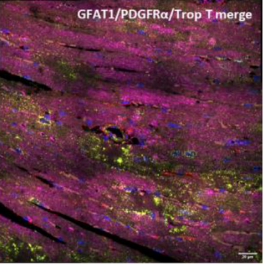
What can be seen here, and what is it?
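This is heart muscle cut along its length, with the cardiomyocytes forming long, parallel magenta fibres across the field. Green speckles lie over the fibres and gather in brighter patches, giving yellowish areas where colours overlap. Narrow dark clefts separate bundles of fibres. Elongated blue nuclei sit along the fibres, and a few thin red cells lie in the spaces between them.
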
